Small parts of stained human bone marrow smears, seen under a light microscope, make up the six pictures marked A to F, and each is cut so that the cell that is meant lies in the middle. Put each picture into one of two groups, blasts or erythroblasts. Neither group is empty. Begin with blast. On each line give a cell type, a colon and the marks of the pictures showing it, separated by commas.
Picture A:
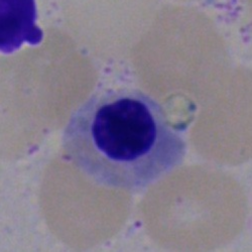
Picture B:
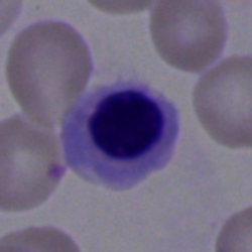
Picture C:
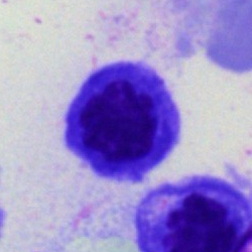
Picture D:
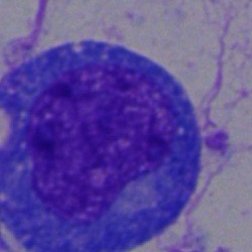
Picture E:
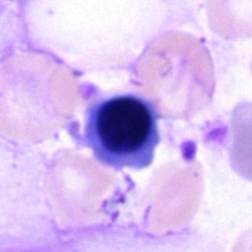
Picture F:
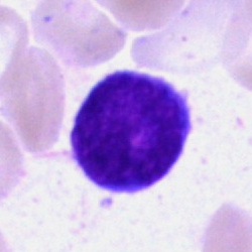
blast: D, F
erythroblast: A, B, C, E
